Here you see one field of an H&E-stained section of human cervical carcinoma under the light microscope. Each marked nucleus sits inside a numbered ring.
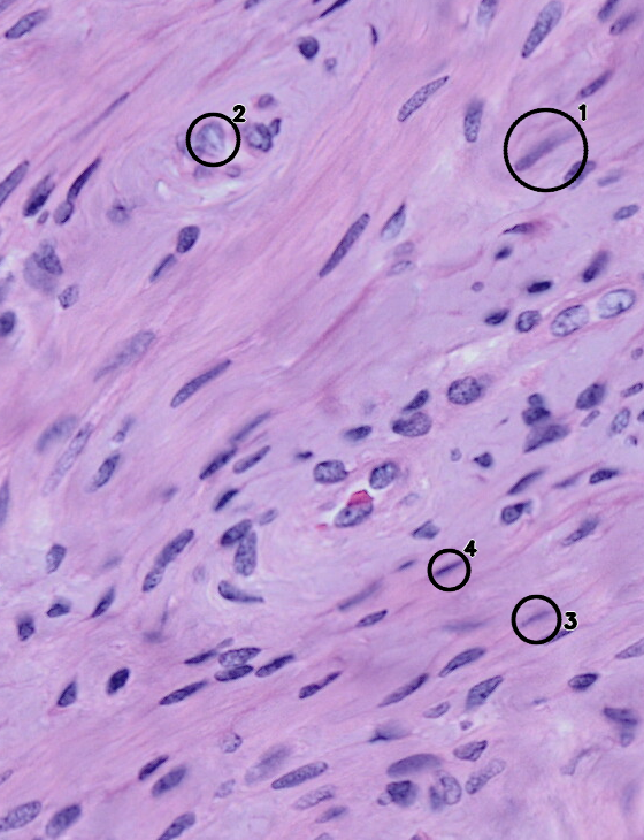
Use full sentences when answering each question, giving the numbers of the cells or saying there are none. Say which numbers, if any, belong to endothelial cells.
The cell bearing the number 2 is an endothelial cell, unlike the rest of the numbered cells.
